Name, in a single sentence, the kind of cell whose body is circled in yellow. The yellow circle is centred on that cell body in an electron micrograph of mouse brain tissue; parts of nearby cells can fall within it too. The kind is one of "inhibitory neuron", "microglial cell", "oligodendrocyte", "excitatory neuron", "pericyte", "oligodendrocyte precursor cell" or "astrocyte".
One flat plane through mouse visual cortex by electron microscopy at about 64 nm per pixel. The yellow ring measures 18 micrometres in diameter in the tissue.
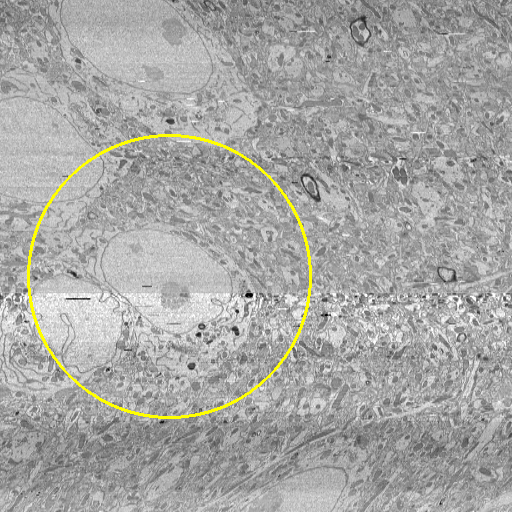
The circled cell body belongs to an excitatory neuron.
